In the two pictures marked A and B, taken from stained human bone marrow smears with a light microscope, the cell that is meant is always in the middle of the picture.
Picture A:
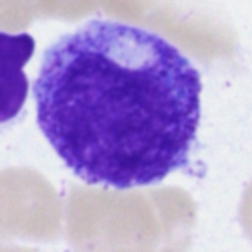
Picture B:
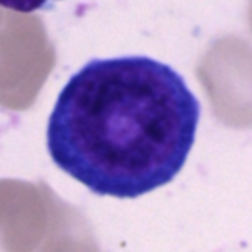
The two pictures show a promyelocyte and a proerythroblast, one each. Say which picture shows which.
A: promyelocyte
B: proerythroblast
